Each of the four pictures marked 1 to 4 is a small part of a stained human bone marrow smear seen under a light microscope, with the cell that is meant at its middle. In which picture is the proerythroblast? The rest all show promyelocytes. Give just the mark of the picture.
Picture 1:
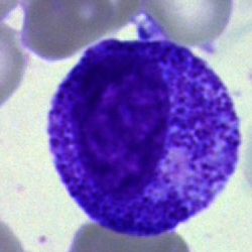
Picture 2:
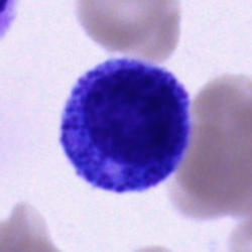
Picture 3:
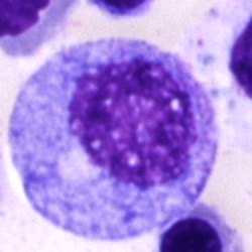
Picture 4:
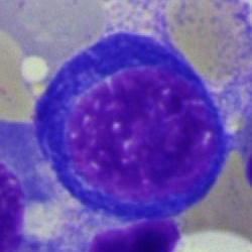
4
